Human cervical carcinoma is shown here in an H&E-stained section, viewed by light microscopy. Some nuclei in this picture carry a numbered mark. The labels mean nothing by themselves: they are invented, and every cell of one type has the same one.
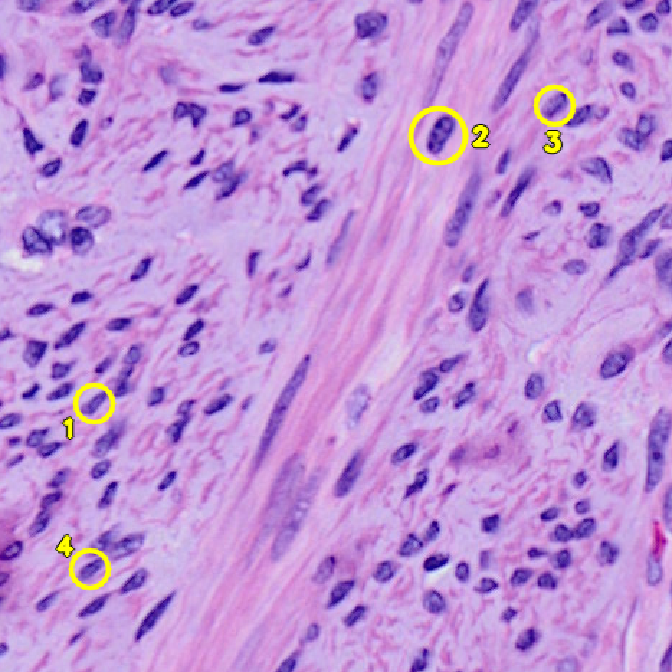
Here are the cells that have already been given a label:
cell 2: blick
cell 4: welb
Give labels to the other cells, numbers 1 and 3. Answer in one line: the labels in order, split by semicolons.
welb; welb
